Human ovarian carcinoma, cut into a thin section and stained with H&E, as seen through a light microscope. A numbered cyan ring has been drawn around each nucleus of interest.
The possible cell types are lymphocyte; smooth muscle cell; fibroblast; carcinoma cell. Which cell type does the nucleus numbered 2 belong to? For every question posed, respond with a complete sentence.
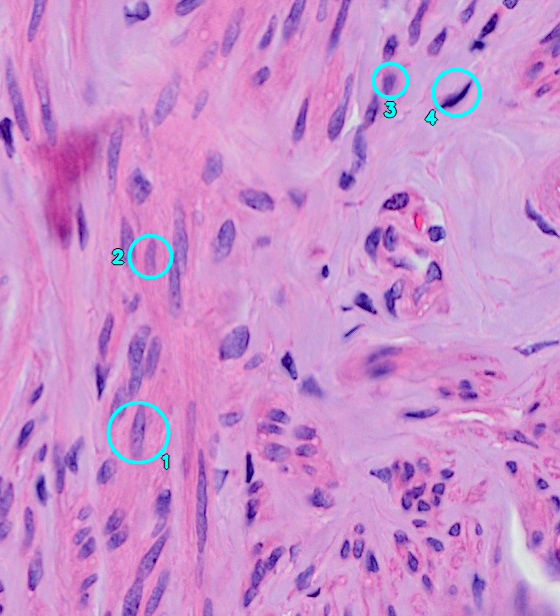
That cell with number 2 is a smooth muscle cell.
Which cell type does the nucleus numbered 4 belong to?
Denoted by the label 4 in the section is a fibroblast.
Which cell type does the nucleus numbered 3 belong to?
The cell referenced by the number 3 is a smooth muscle cell in this field.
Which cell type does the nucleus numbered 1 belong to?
The nucleus labeled 1 belongs to a smooth muscle cell.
